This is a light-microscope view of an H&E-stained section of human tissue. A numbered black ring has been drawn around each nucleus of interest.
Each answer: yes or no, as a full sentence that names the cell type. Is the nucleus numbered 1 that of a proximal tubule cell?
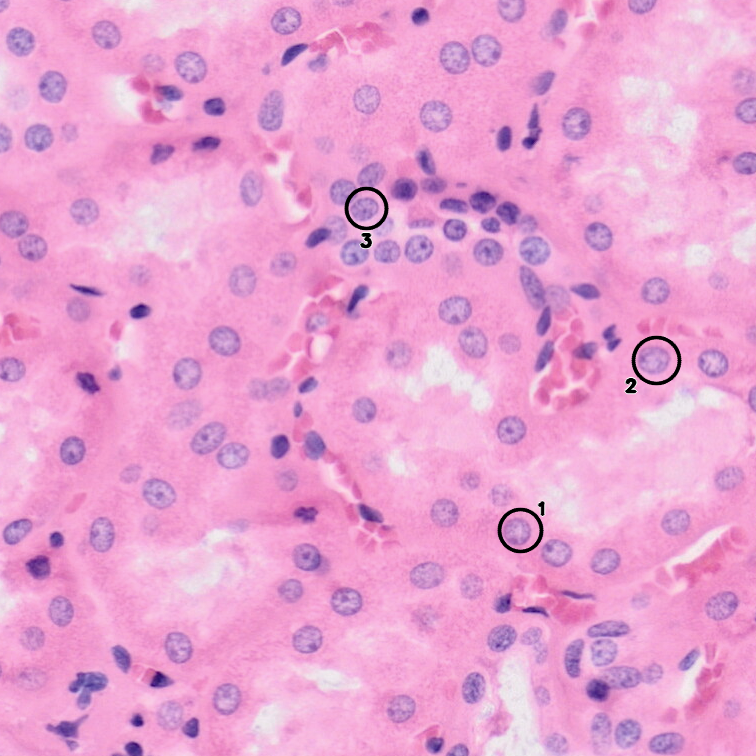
Yes, the cell at marker 1 is a proximal tubule cell.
